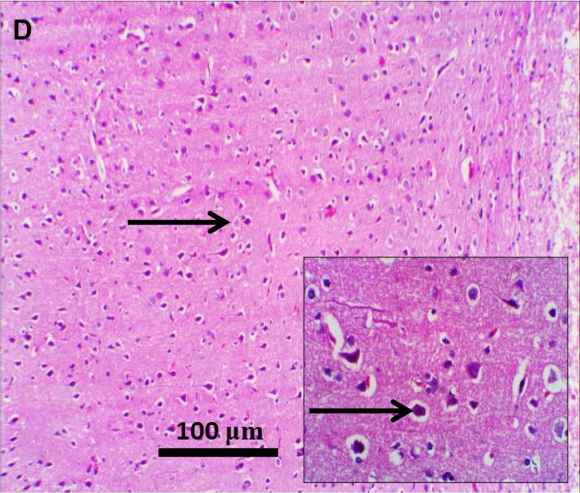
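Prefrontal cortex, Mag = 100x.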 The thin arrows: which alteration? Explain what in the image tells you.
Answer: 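Neuronal shrinking with a halo area around it. In the inset the arrow points to a small dark cell body surrounded by a clear ring. Several neighbouring cells in the inset also sit in clear spaces.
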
